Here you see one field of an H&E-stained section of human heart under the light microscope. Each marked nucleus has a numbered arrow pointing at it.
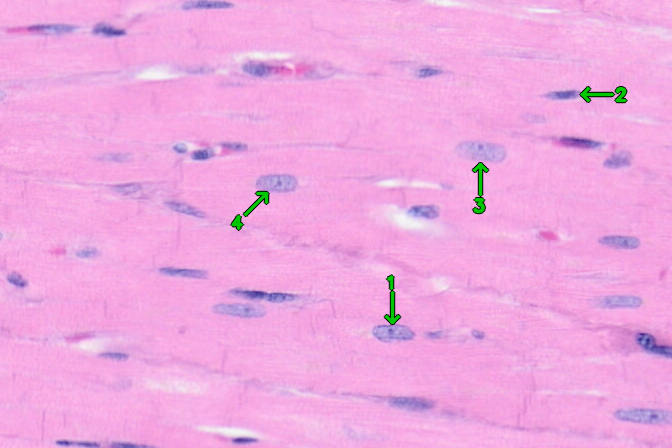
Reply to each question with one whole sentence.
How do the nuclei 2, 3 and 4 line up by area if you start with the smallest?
Smallest first, the nuclei run 2, 4, 3.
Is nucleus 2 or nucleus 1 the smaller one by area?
Nucleus 2 is the smaller one; nucleus 1 covers about 3 times its area.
